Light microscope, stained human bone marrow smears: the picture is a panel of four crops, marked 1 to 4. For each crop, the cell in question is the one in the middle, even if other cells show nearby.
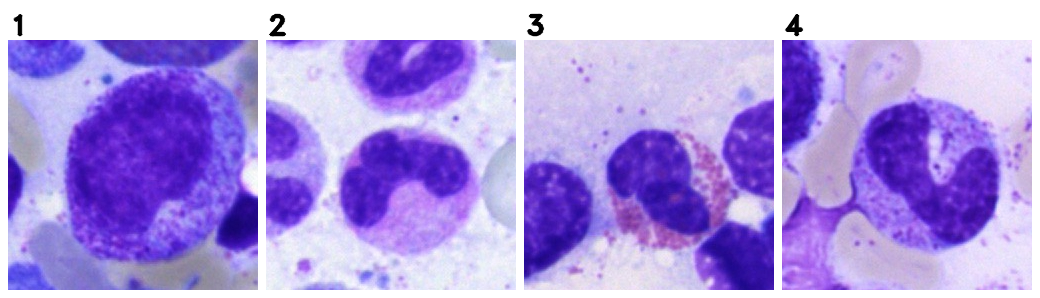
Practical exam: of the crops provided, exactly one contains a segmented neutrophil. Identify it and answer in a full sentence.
The one crop in the set with a segmented neutrophil is crop 2.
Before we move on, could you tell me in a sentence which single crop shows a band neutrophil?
Crop 4 is the one that shows a band neutrophil.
